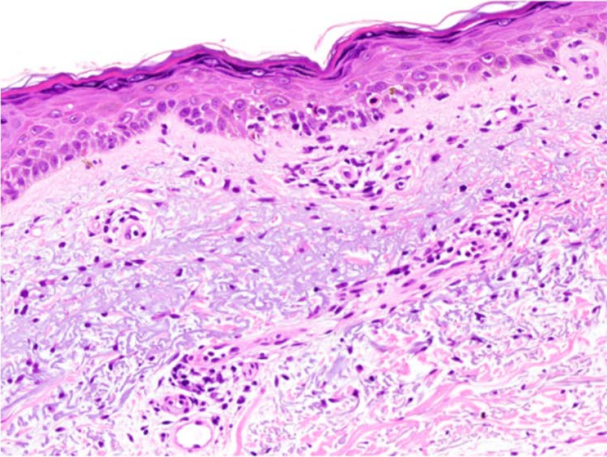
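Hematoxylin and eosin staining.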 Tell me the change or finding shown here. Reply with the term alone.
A: vacuolar degeneration at the dermoepidermal junction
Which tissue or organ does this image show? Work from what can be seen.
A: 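Skin. A stratified squamous epithelium with a thin pink cornified surface layer lies along the top. A loose fibrous connective tissue with small vessels lies beneath the epithelium.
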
